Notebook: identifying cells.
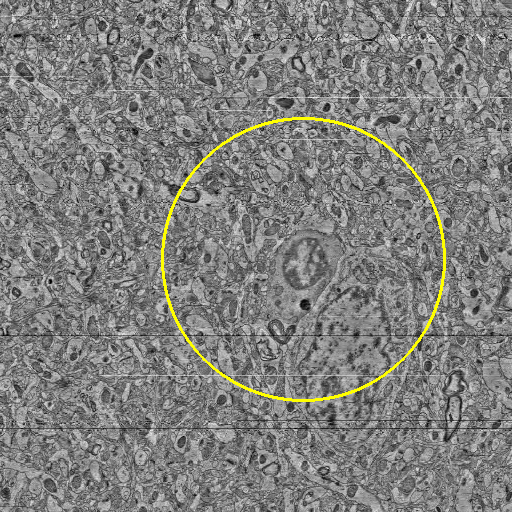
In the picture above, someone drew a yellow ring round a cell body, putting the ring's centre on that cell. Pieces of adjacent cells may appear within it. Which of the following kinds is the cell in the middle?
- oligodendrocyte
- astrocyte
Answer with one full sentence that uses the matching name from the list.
In this picture, the yellow ring is centred on the body of an oligodendrocyte.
